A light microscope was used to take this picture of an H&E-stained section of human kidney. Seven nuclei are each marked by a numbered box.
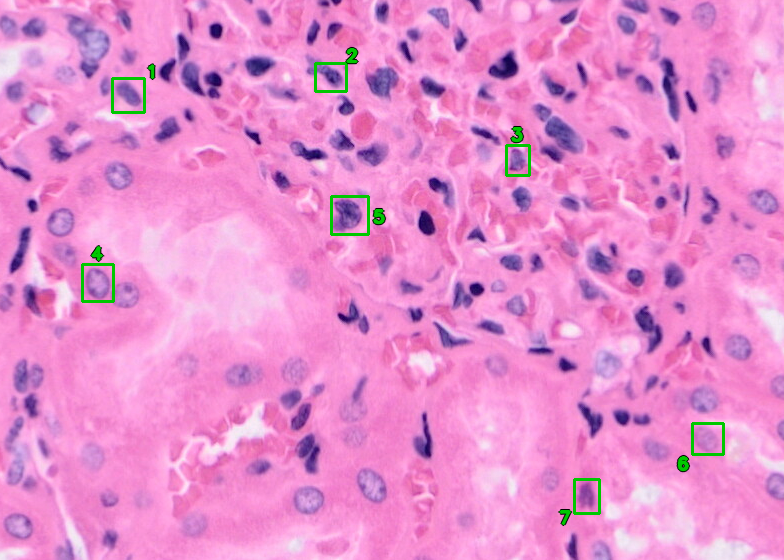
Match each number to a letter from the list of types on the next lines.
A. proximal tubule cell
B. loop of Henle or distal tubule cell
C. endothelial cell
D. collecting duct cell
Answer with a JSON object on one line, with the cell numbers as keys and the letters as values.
{"1": "D", "2": "C", "3": "C", "4": "A", "5": "C", "6": "A", "7": "A"}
